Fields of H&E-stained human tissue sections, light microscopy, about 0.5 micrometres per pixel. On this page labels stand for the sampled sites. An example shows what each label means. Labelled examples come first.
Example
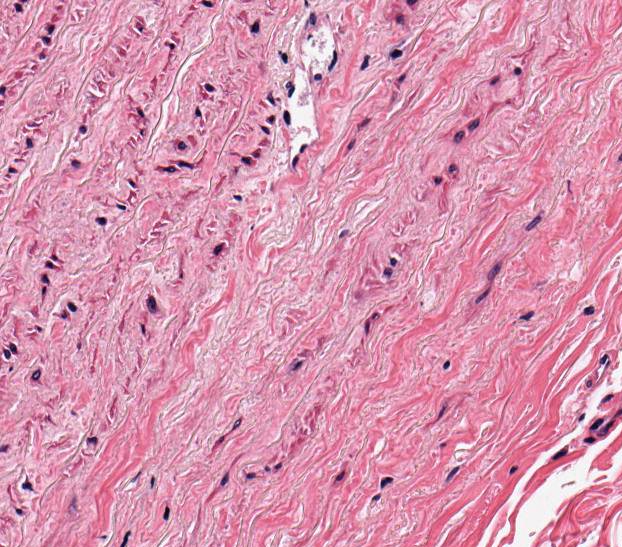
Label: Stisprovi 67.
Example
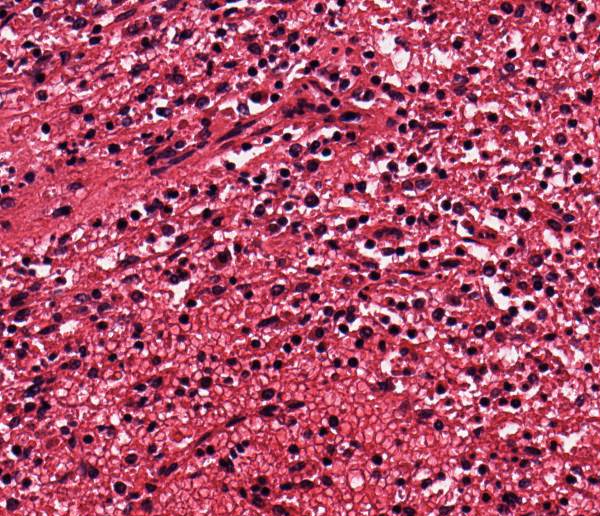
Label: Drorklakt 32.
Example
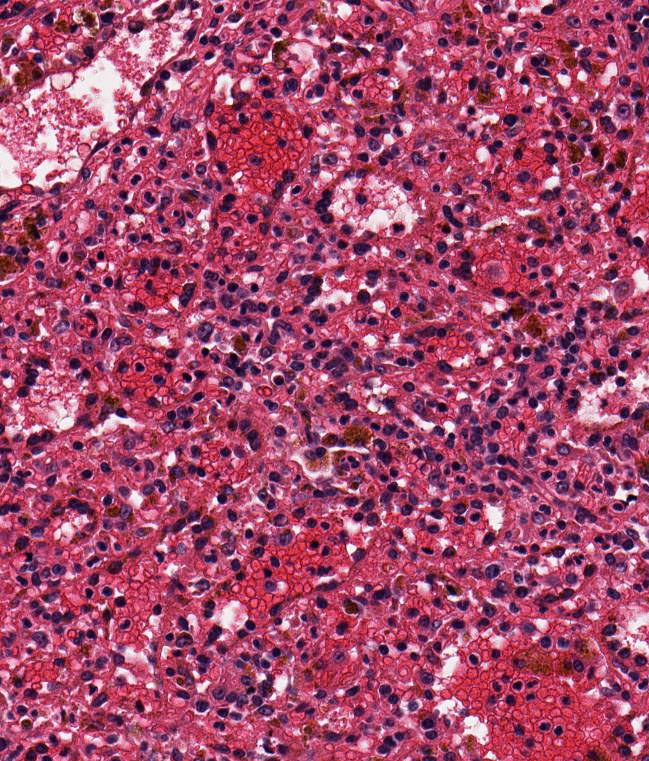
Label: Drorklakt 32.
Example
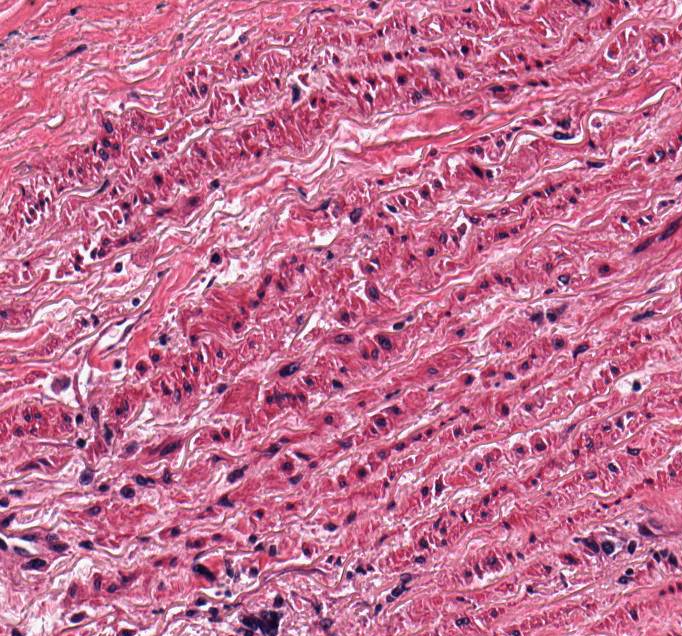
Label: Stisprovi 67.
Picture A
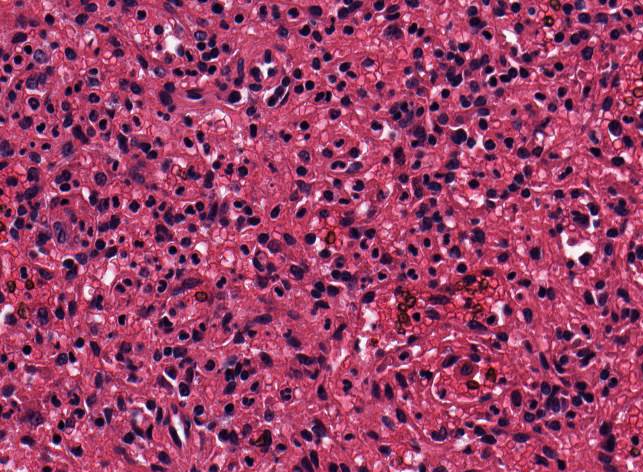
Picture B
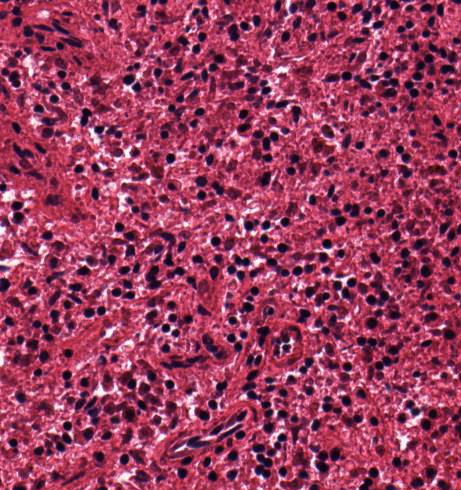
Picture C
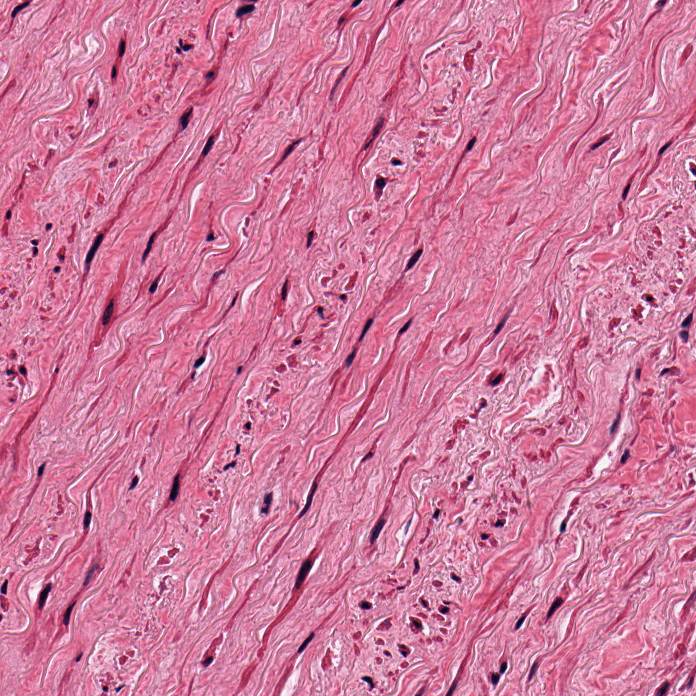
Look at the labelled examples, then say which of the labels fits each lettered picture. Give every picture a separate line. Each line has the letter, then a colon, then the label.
A: Drorklakt 32.
B: Drorklakt 32.
C: Stisprovi 67.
